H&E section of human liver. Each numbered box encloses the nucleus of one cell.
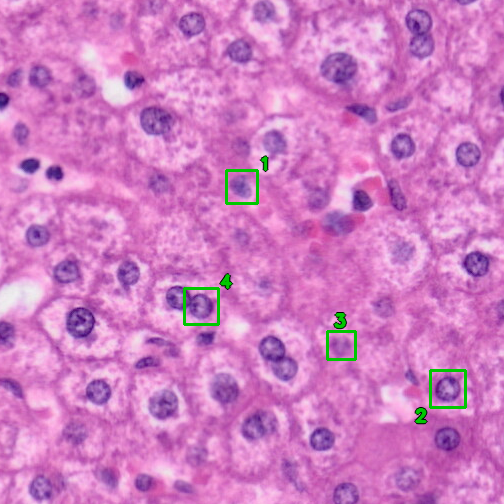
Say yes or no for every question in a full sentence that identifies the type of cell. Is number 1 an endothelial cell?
Yes, as for number 1, the cell is an endothelial cell.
